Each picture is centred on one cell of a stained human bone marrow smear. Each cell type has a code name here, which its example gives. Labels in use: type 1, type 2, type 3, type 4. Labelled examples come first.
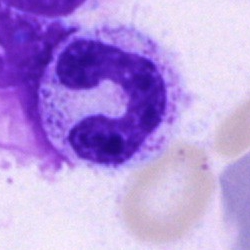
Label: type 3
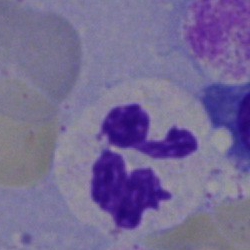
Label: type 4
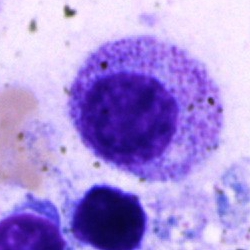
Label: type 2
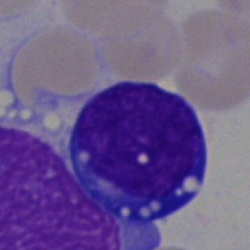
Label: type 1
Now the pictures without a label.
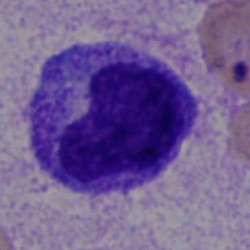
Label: type 2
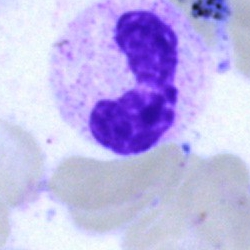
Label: type 4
